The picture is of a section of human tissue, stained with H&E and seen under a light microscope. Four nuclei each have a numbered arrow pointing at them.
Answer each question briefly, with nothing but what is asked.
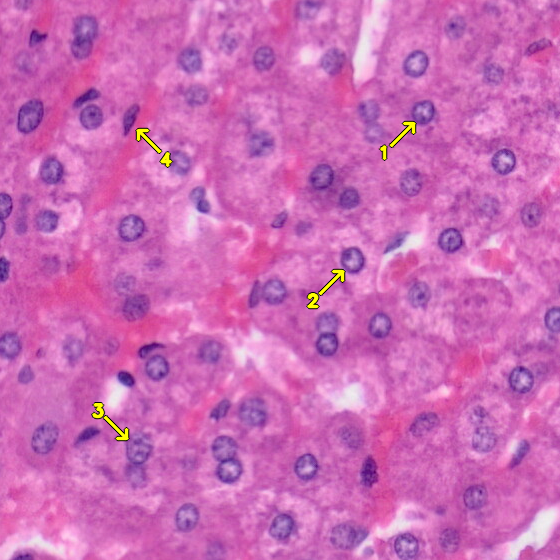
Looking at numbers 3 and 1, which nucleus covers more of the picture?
3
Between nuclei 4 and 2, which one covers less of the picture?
4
